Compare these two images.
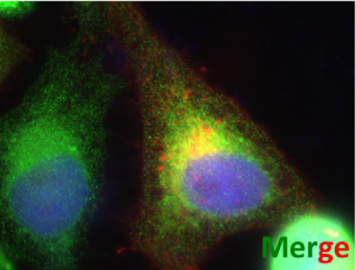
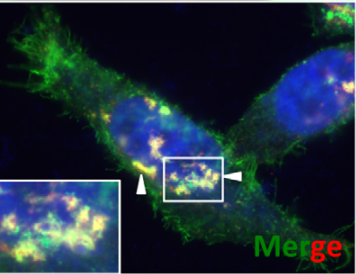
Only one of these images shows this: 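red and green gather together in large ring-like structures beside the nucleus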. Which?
The second image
